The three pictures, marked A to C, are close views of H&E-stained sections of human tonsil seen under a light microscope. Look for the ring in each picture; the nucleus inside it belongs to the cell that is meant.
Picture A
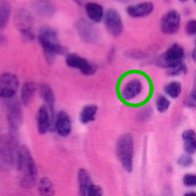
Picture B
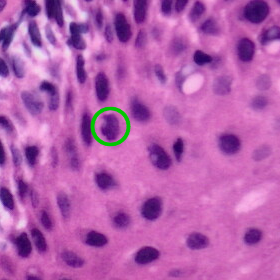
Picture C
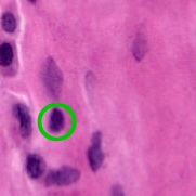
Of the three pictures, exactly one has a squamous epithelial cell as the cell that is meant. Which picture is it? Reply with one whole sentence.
The cell in picture B is the squamous epithelial cell.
